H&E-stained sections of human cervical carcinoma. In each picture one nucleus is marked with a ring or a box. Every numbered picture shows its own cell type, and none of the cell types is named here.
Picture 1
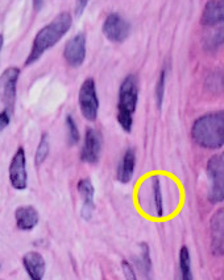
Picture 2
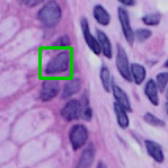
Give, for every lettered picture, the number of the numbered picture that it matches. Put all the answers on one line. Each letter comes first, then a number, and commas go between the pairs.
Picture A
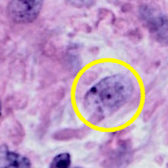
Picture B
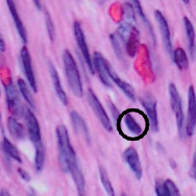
A 1, B 1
